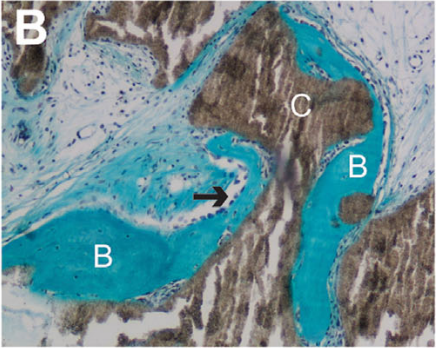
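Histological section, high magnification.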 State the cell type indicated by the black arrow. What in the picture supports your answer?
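The arrow points to a row of cells lining the surface of a teal-stained matrix. The lining cells have dark nuclei and sit directly on the matrix edge.
Hence: osteoblasts.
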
